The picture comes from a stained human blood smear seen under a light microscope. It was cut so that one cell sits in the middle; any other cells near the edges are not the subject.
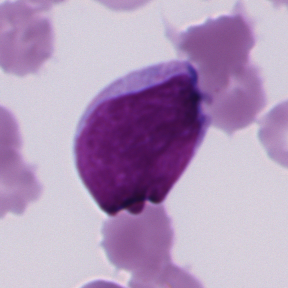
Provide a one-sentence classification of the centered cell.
By classification, the middle cell of this crop is a myeloblast.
